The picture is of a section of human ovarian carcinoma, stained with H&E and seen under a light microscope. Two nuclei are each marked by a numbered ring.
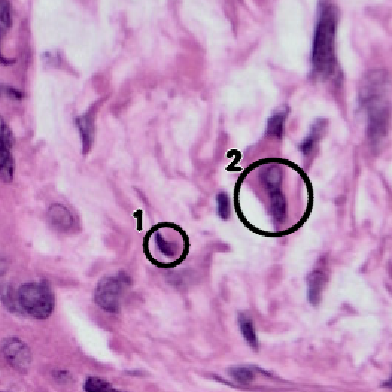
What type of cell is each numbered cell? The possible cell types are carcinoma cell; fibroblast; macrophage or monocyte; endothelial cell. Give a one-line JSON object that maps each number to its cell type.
{"1": "fibroblast", "2": "endothelial cell"}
